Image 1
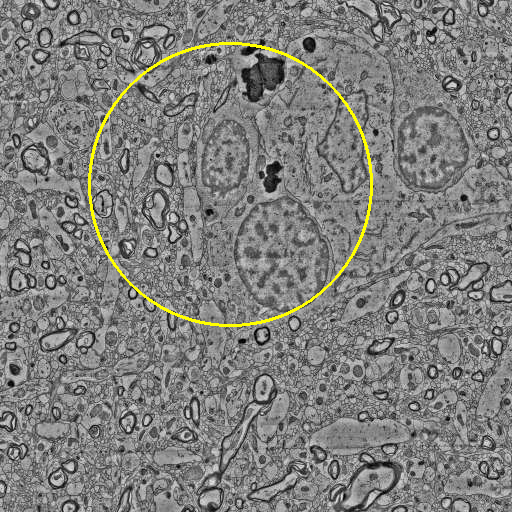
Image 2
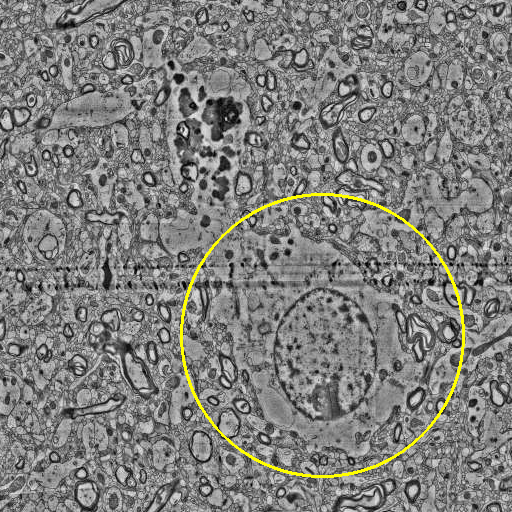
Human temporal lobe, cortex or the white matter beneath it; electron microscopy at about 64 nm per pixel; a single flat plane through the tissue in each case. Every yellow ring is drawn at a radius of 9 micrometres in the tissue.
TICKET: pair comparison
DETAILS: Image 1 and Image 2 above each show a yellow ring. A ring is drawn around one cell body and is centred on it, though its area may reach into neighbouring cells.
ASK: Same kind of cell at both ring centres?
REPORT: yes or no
no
